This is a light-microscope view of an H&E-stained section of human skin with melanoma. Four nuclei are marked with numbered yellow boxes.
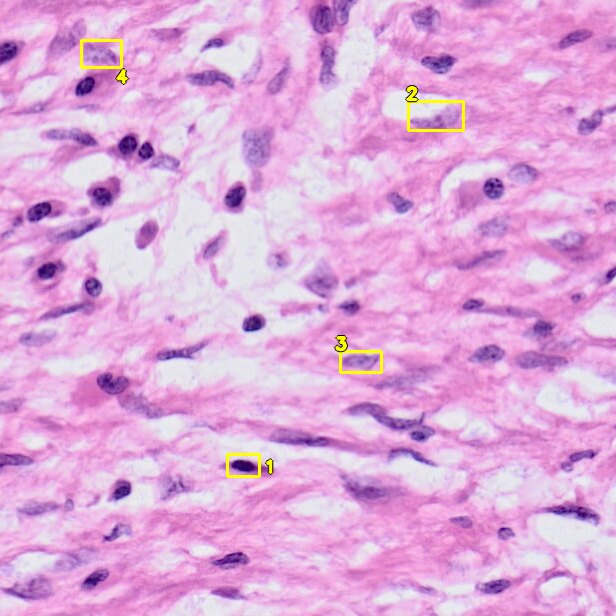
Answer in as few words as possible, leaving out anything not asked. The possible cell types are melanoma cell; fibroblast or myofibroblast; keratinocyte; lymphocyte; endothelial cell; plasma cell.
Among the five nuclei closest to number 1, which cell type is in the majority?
fibroblast or myofibroblast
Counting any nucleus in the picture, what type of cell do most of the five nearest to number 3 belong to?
fibroblast or myofibroblast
